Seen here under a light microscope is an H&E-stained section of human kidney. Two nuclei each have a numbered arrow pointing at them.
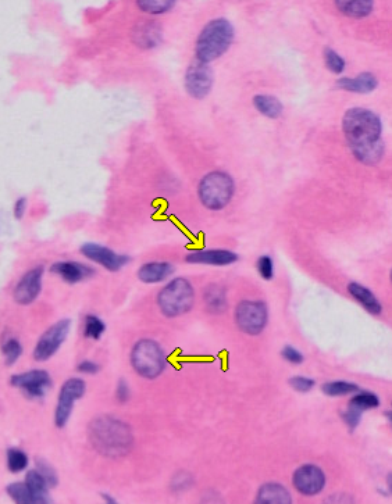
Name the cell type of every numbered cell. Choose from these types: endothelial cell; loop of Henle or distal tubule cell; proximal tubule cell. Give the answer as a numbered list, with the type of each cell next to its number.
1. proximal tubule cell
2. endothelial cell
